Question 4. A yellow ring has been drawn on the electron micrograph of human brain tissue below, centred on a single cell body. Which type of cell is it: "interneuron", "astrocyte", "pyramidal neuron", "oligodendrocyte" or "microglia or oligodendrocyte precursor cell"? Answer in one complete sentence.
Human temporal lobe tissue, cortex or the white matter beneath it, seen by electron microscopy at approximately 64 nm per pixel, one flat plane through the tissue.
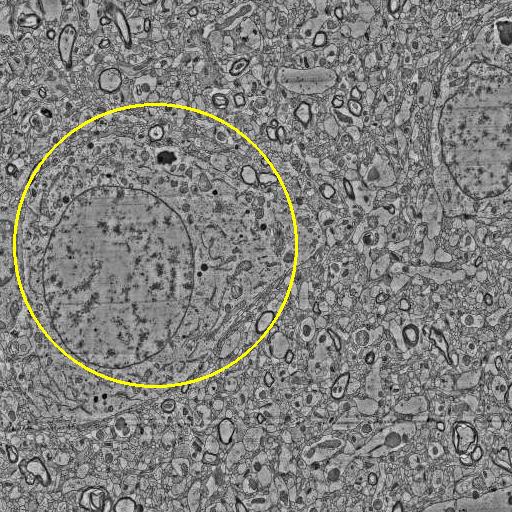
This cell body belongs to a pyramidal neuron.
